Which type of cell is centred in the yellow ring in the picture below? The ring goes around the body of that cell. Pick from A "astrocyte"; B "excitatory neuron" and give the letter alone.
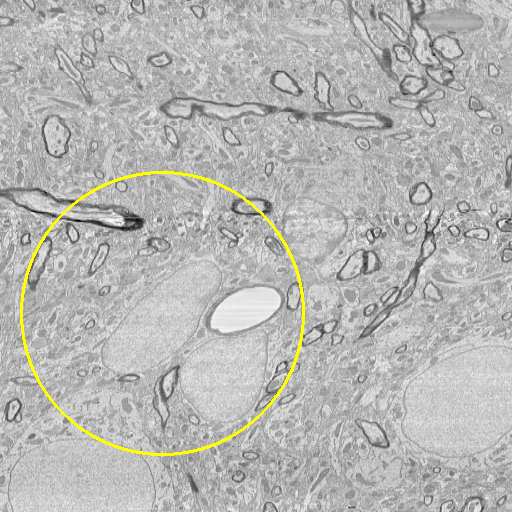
A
